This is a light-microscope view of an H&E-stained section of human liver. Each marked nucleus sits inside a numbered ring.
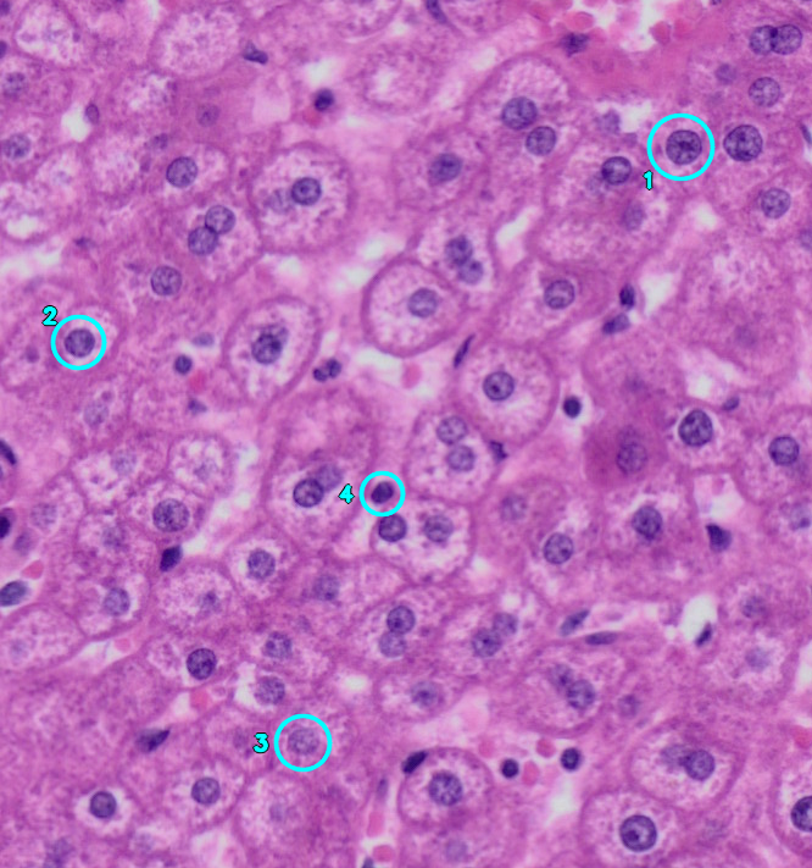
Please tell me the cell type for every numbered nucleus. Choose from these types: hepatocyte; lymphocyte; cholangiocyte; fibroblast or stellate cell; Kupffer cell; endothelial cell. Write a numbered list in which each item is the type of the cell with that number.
1. hepatocyte
2. hepatocyte
3. hepatocyte
4. lymphocyte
